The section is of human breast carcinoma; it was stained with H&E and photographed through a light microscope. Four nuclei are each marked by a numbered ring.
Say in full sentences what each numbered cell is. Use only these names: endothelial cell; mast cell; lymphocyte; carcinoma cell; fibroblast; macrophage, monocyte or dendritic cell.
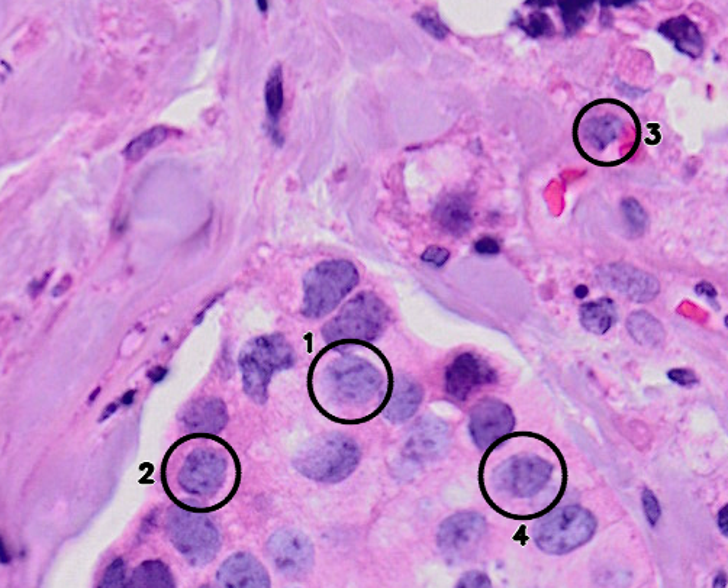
Cell 1 is a carcinoma cell, cell 2 is a carcinoma cell, cell 3 is an endothelial cell and cell 4 is a carcinoma cell.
